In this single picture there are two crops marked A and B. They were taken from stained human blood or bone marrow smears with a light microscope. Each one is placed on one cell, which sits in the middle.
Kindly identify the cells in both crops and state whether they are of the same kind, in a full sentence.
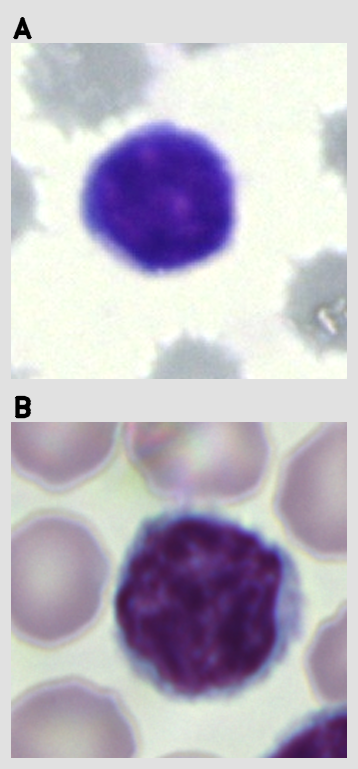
Yes, both crops have lymphocytes at the centre.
